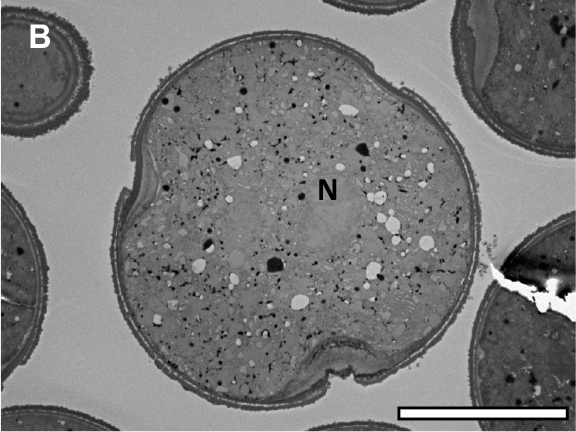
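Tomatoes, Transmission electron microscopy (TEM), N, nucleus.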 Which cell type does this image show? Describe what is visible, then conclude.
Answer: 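A large rounded cell is enclosed by a thick, dark, layered outer wall. The wall shows thinner infolded regions like apertures. The cytoplasm is dense and filled with many small light and dark bodies. So: pollen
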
